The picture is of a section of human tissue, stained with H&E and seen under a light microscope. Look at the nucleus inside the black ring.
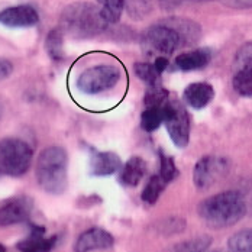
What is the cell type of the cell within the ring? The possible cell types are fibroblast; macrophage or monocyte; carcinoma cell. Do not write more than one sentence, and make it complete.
Students should answer that the cell within the ring is a macrophage or monocyte.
